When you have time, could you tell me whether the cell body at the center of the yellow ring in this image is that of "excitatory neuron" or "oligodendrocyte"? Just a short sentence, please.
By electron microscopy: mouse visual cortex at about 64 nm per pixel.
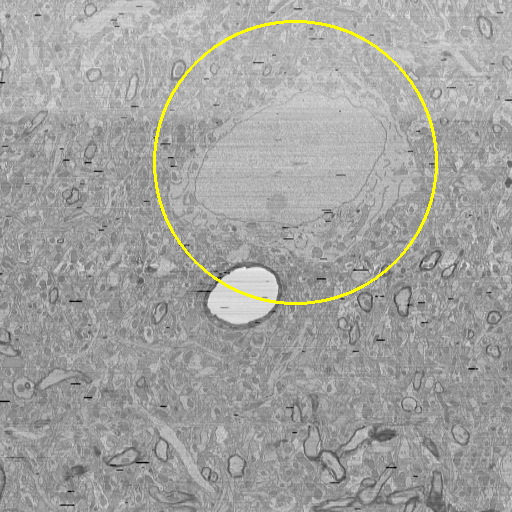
The cell body at the center of the ring is that of an excitatory neuron.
